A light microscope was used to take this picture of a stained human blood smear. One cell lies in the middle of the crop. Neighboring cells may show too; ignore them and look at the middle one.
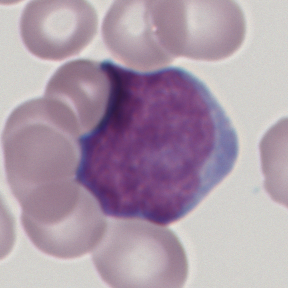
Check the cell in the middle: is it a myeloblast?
yes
